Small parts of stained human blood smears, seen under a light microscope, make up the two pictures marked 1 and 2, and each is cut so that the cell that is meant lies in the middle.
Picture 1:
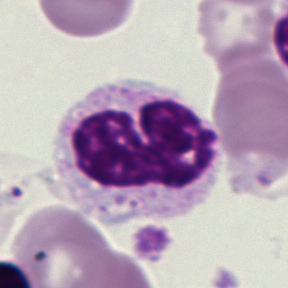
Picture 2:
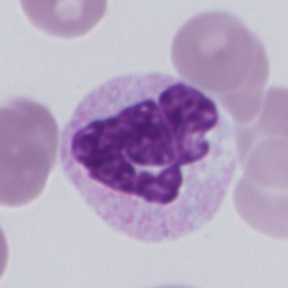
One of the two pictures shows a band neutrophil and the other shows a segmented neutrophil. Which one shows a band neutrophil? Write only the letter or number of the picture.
1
